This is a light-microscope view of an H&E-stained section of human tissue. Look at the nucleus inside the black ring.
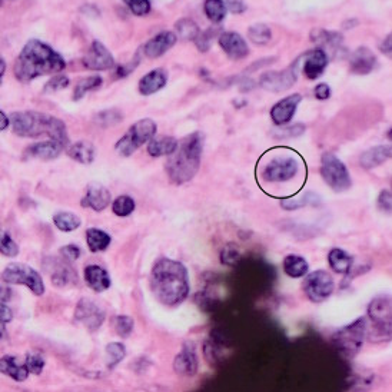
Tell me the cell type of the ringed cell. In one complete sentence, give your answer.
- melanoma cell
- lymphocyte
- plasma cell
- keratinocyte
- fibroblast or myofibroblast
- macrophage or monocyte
At the level of cell identity, the ringed cell is a lymphocyte.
